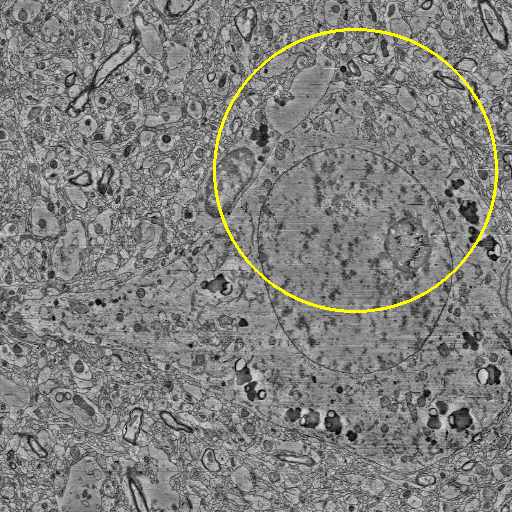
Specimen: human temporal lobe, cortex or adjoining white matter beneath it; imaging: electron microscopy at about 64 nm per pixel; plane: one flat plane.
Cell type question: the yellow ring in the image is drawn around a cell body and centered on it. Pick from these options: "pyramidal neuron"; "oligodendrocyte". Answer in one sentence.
The ringed cell at the center is a pyramidal neuron.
